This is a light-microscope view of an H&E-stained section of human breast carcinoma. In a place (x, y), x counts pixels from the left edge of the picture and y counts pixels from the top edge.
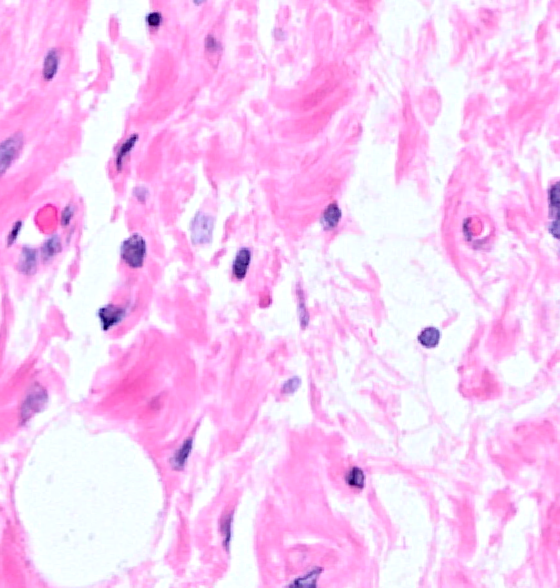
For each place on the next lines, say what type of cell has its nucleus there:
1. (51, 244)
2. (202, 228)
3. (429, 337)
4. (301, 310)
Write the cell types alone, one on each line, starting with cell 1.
endothelial cell
fibroblast
lymphocyte
fibroblast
